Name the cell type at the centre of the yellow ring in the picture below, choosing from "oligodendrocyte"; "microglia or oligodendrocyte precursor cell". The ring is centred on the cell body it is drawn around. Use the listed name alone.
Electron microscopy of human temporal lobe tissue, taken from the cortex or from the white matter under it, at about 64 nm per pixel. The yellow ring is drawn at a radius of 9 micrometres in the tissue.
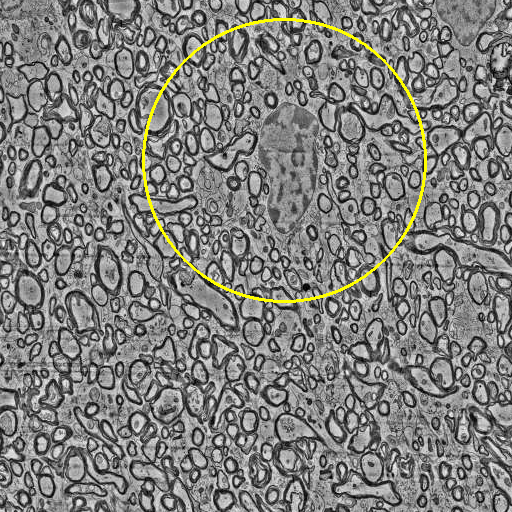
microglia or oligodendrocyte precursor cell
